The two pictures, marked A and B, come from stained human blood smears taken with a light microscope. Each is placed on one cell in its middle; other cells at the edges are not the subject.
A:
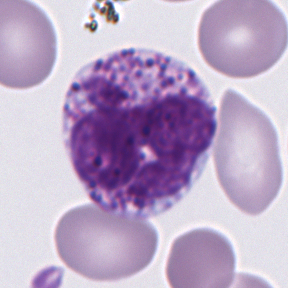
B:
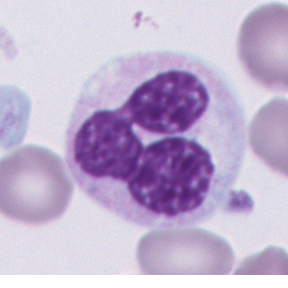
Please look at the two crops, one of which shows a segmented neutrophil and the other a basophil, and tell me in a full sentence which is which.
What is seen in crop A is a basophil; what is seen in crop B is a segmented neutrophil.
